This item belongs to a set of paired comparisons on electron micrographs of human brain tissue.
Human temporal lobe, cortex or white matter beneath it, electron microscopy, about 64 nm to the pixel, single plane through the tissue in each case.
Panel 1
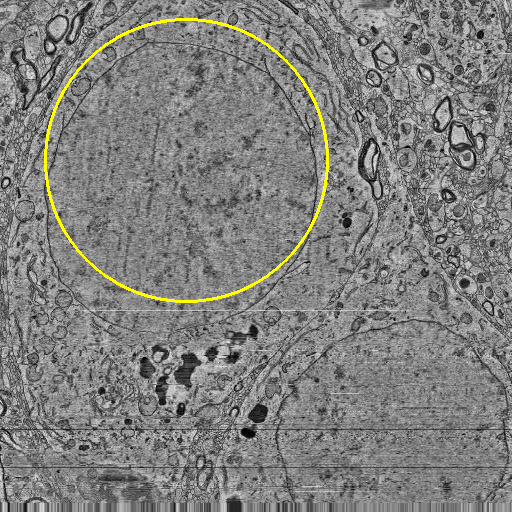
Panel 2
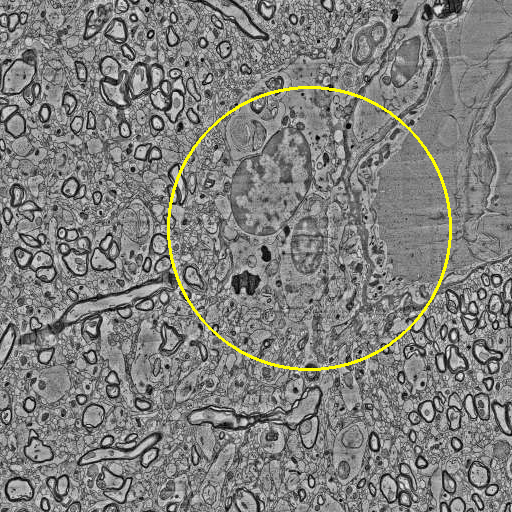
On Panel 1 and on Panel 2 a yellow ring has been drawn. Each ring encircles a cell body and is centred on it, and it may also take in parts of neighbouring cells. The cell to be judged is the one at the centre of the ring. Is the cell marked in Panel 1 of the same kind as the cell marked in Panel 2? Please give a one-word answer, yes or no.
no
